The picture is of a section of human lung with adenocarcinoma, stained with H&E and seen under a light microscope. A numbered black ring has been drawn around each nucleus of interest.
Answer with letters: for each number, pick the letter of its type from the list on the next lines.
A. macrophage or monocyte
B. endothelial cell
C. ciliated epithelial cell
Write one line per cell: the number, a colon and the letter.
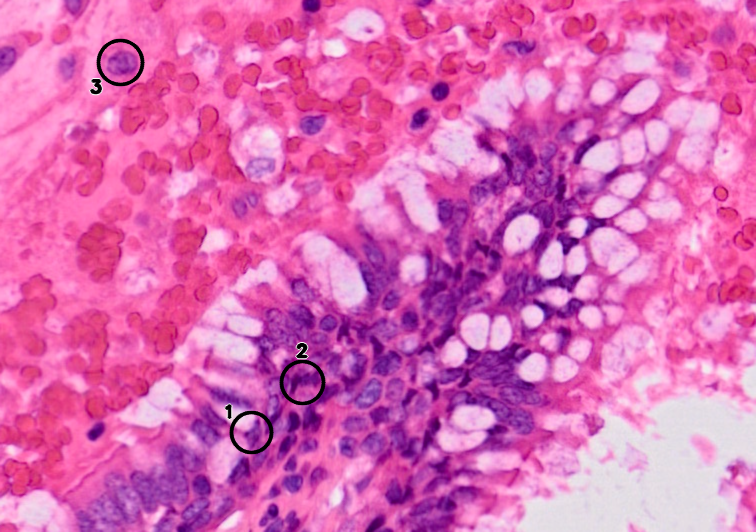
1: C
2: C
3: A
